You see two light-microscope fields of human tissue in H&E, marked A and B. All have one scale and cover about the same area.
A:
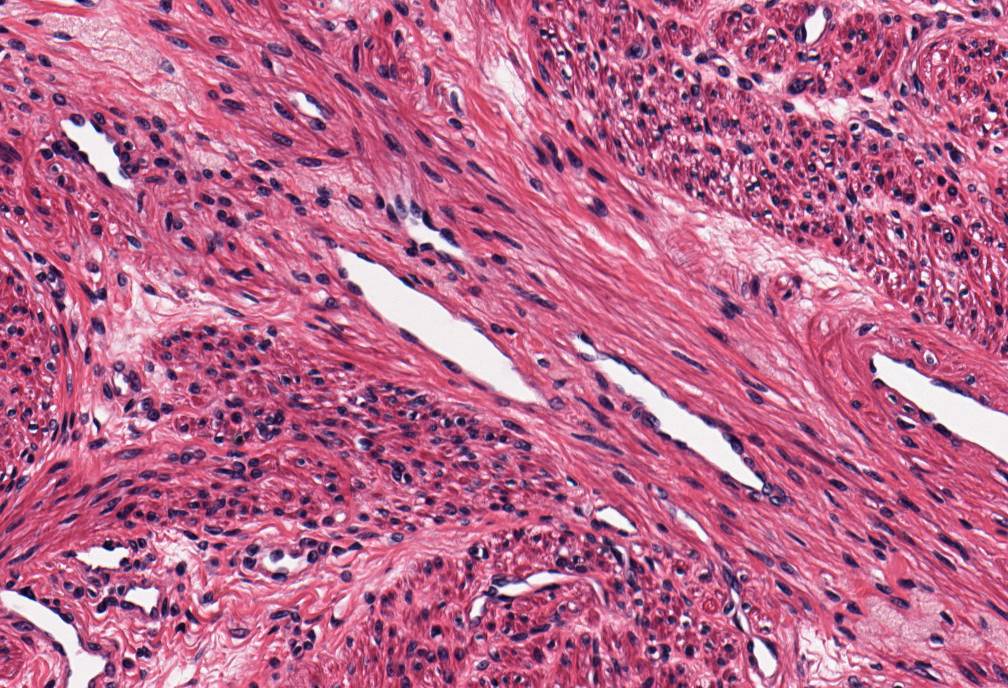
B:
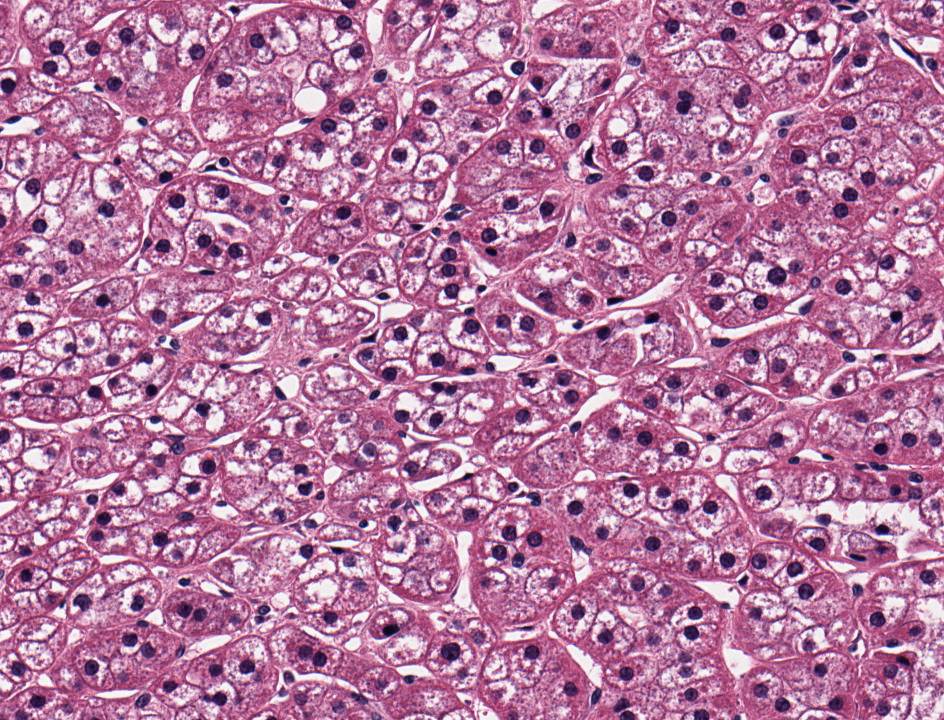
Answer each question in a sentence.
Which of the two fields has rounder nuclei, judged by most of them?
Rounder nuclei lie in field B.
